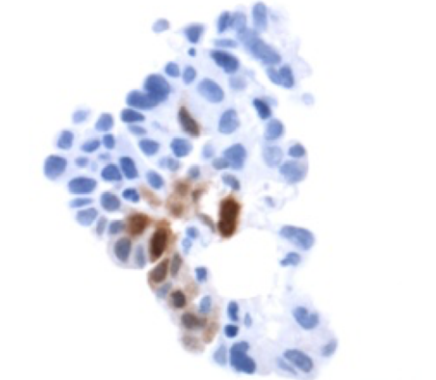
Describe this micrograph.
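Cells are crowded and overlapping, with large oval to irregular blue nuclei of varying size and scant pale cytoplasm. A small group of cells on one side of the hollow space shows brown staining filling both nucleus and cytoplasm, while most cells remain unstained and blue. The stained cells lie side by side within the same cohesive group as the unstained ones, not as separate loose cells.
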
